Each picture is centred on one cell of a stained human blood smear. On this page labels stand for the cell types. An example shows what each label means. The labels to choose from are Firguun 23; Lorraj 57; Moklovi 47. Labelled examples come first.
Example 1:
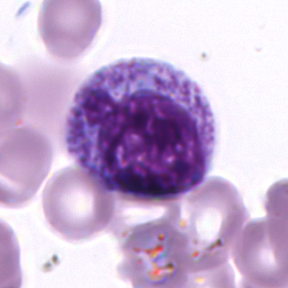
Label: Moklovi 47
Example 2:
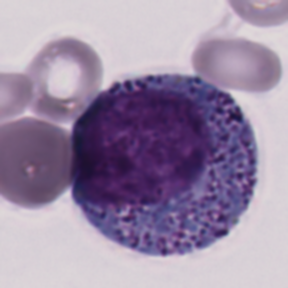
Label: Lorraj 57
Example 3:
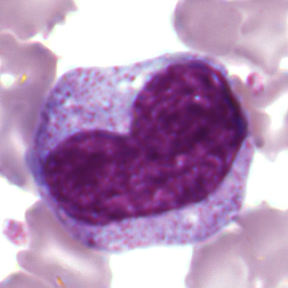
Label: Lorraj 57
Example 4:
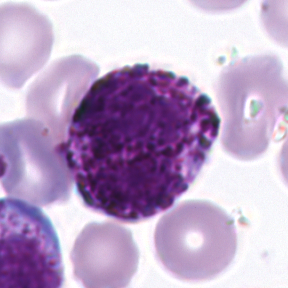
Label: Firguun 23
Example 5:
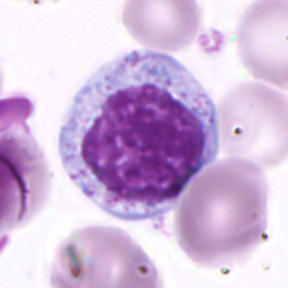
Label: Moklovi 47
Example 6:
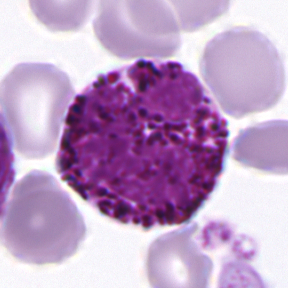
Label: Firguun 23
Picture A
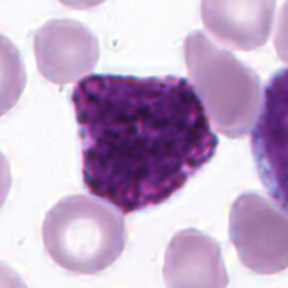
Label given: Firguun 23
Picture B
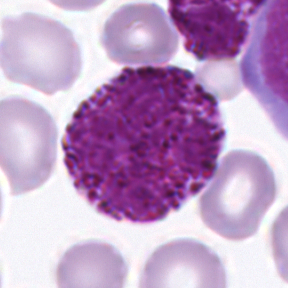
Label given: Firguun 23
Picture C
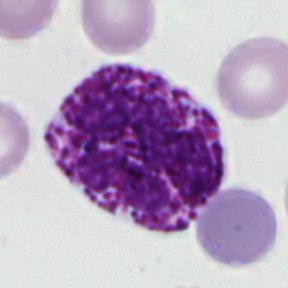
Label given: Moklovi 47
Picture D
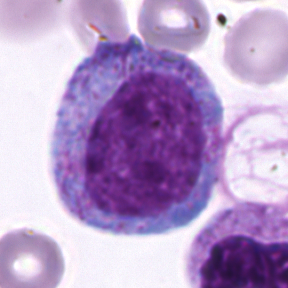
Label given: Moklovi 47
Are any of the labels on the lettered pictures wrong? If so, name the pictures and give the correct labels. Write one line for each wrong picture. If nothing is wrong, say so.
Wrong: C (Moklovi 47); correct: Firguun 23
Wrong: D (Moklovi 47); correct: Lorraj 57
